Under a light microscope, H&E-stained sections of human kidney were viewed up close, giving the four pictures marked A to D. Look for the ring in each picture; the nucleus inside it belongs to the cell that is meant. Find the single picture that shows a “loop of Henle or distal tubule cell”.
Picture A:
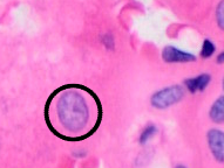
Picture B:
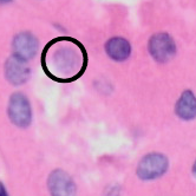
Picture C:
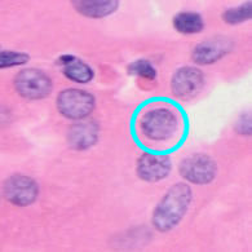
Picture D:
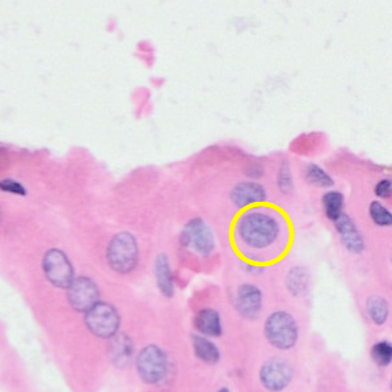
B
